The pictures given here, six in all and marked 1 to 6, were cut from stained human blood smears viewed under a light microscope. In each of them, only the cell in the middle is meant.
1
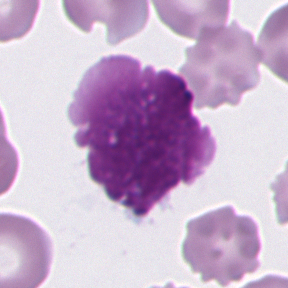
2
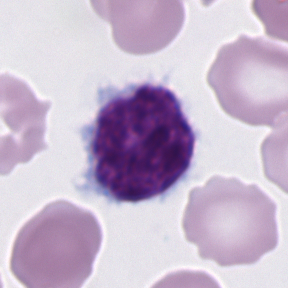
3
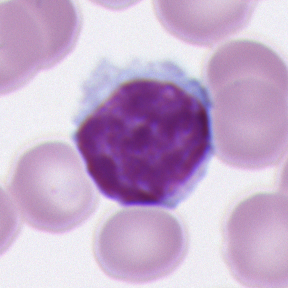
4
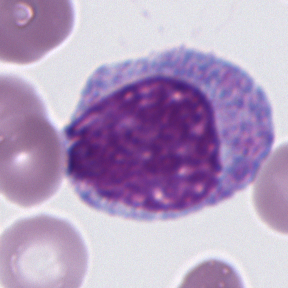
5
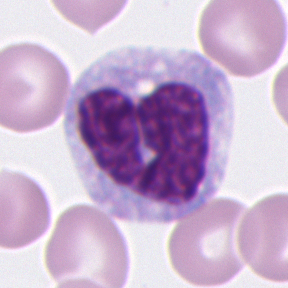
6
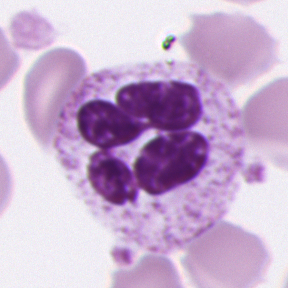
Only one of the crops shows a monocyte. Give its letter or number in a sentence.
Here the crop that shows a monocyte is crop 5.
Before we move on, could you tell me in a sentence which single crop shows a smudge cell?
That would be crop 1; it shows a smudge cell.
